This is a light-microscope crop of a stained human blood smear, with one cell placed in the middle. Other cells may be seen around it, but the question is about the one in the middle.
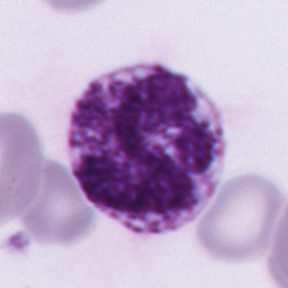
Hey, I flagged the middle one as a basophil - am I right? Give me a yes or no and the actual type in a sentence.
Yes, the cell here in the middle is a basophil.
